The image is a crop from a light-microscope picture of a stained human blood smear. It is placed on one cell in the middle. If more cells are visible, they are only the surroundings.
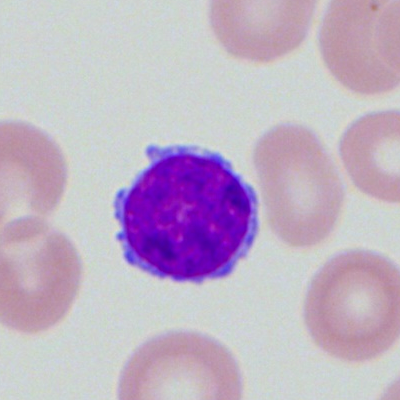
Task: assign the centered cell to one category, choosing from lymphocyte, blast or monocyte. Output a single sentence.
The cell at the middle of the frame should be recorded as a lymphocyte.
